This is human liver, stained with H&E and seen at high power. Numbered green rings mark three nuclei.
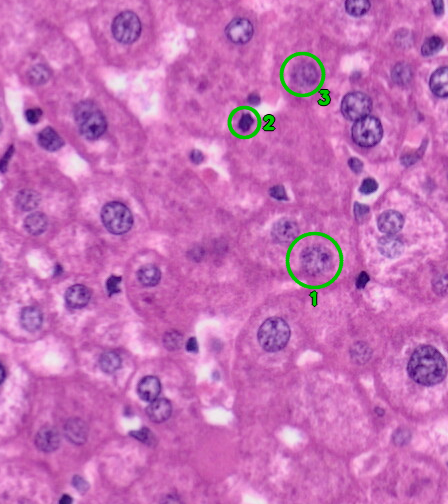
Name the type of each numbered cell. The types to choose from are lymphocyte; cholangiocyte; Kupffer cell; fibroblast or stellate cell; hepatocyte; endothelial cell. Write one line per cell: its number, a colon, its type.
1: hepatocyte
2: fibroblast or stellate cell
3: hepatocyte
